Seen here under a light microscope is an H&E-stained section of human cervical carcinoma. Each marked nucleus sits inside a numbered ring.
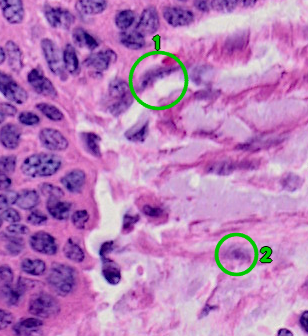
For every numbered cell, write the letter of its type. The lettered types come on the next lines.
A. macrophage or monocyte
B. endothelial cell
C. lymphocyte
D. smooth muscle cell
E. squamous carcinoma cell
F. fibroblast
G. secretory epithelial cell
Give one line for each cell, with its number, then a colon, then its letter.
1: B
2: F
